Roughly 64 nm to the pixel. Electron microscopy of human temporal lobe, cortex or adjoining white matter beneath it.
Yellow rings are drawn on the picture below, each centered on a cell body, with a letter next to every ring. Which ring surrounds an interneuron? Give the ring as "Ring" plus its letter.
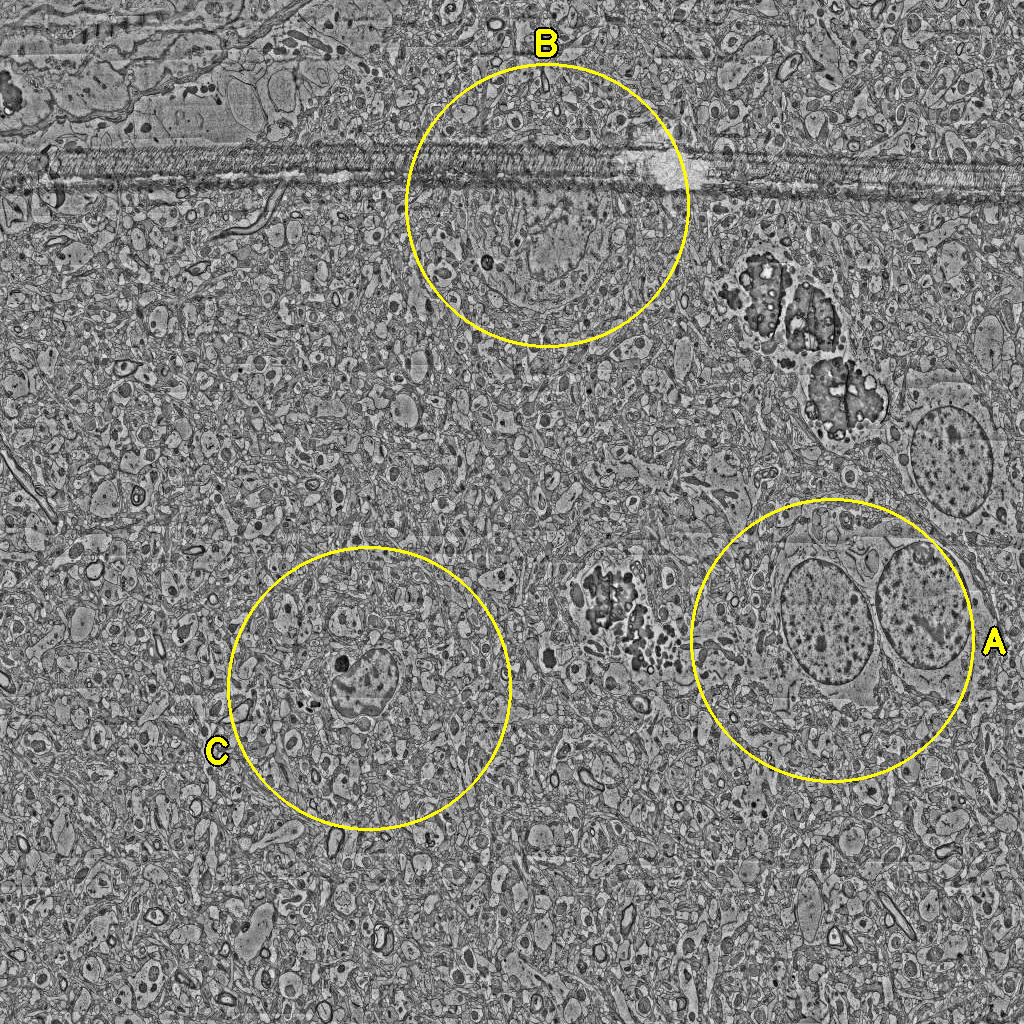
Ring B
